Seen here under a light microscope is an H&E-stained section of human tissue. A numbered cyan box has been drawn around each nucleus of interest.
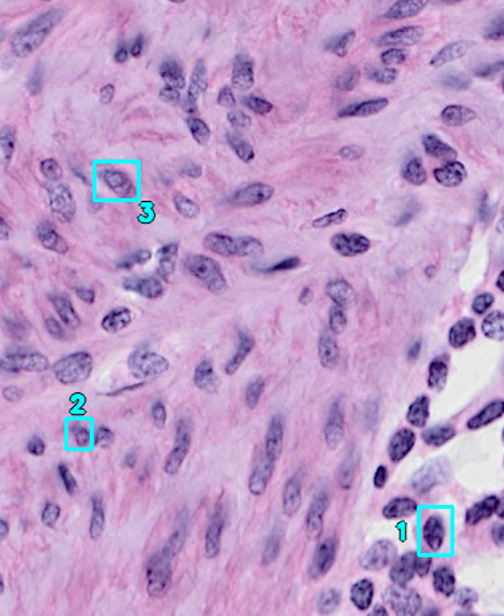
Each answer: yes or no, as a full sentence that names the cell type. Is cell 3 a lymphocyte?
No, calling cell 3 a lymphocyte is a mistake; it is a smooth muscle cell.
